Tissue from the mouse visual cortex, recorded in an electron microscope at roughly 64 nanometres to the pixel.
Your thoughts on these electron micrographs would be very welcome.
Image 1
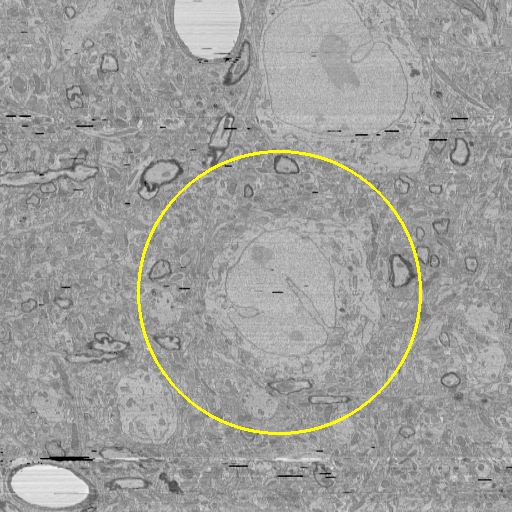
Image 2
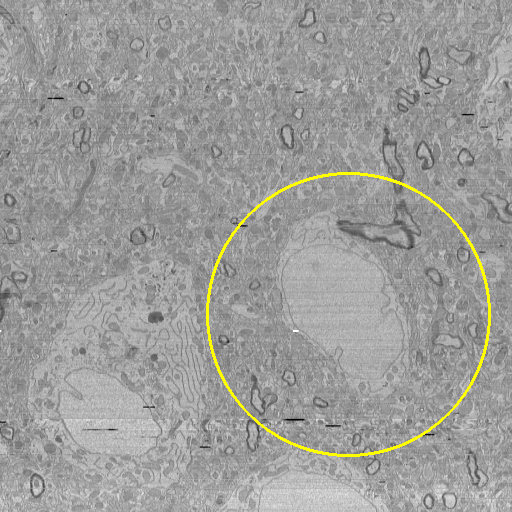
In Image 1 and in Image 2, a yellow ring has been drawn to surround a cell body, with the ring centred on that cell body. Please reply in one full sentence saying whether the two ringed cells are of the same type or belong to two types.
The ringed cells in Image 1 and Image 2 are of the same type.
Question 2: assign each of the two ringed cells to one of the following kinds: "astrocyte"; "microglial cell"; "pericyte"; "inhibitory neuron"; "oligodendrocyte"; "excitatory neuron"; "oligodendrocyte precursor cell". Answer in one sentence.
Each of the two rings is centred on an excitatory neuron.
